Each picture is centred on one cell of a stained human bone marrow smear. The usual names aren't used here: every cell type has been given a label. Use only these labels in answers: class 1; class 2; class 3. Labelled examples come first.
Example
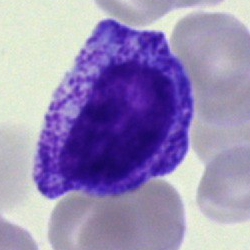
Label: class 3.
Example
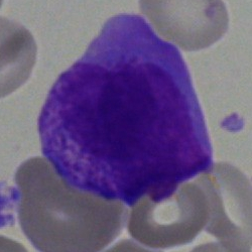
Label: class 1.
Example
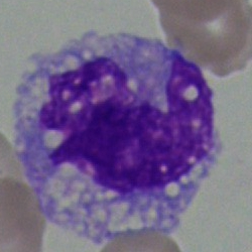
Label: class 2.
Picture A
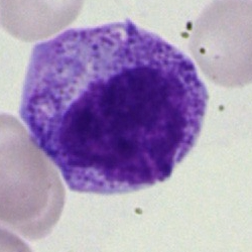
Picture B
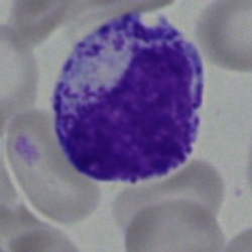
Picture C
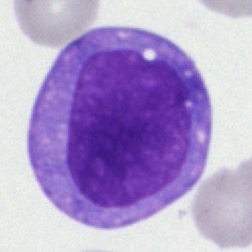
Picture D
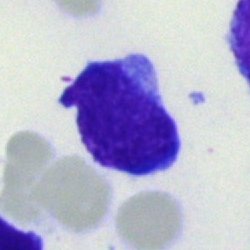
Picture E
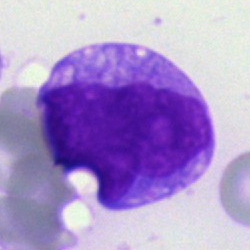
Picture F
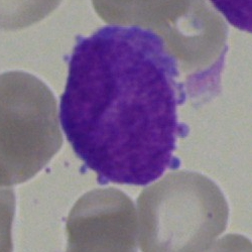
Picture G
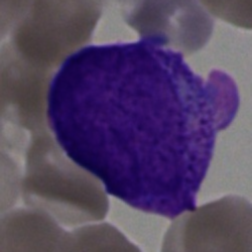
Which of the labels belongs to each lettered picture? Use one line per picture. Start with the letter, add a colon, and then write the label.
A: class 3.
B: class 3.
C: class 1.
D: class 1.
E: class 1.
F: class 1.
G: class 1.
